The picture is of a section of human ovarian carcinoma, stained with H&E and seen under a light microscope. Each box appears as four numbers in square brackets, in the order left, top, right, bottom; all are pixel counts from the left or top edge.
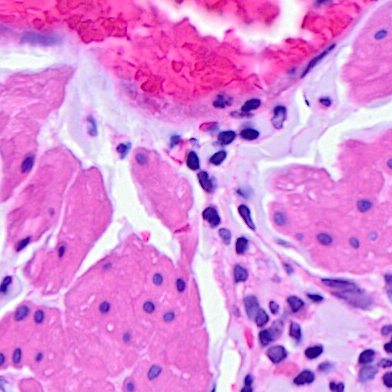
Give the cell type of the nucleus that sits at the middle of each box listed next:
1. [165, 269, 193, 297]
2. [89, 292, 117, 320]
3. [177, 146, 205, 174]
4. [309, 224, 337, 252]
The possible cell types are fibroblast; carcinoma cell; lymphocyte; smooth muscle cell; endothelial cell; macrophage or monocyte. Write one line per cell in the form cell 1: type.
cell 1: smooth muscle cell
cell 2: smooth muscle cell
cell 3: lymphocyte
cell 4: smooth muscle cell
